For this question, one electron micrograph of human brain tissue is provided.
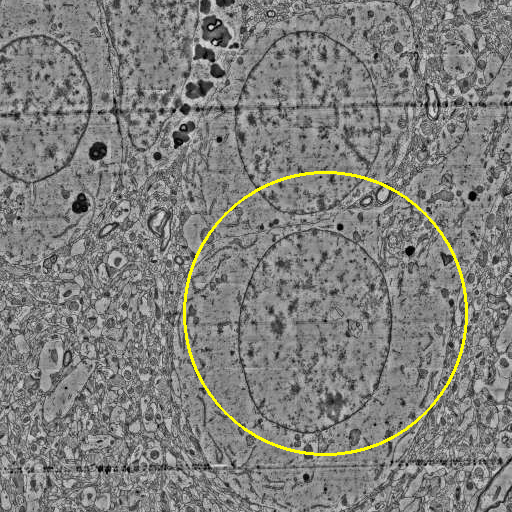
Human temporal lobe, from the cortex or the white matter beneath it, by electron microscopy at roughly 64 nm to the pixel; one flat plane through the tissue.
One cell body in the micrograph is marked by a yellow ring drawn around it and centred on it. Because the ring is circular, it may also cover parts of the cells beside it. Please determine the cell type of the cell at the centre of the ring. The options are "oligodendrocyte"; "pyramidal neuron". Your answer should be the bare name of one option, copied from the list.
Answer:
pyramidal neuron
